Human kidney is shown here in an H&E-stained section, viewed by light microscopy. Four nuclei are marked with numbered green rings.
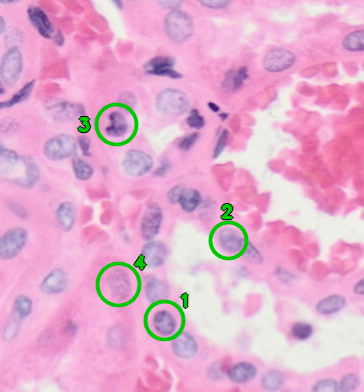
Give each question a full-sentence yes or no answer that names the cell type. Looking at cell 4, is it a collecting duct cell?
No, a proximal tubule cell, not a collecting duct cell, is the cell with number 4.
